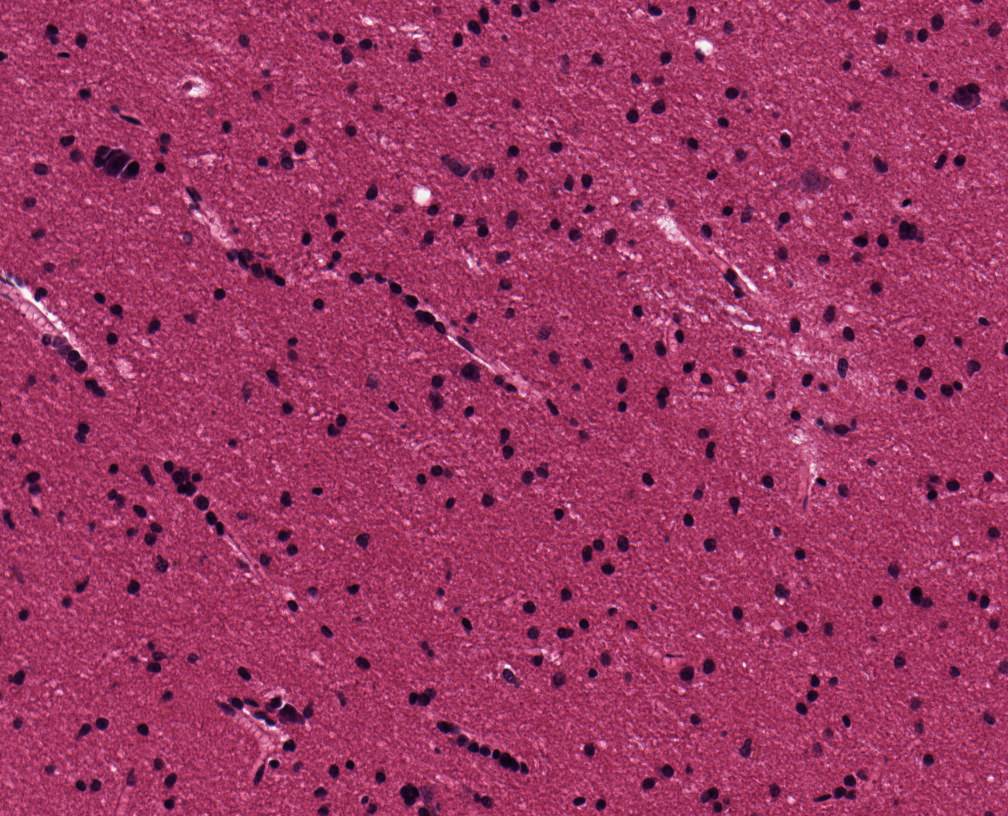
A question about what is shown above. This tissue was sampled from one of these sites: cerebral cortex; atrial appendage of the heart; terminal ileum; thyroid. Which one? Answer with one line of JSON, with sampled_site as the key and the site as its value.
{"sampled_site": "cerebral cortex"}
